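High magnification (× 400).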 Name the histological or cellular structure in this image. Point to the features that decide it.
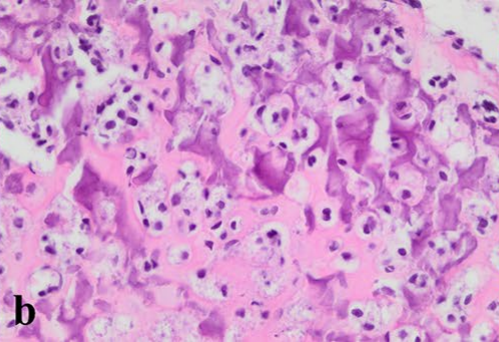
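Pink homogeneous matrix forms a delicate network between cells. Atypical cells sit in spaces surrounded by the pink matrix.
Conclusion: Lace-like malignant osteoid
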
